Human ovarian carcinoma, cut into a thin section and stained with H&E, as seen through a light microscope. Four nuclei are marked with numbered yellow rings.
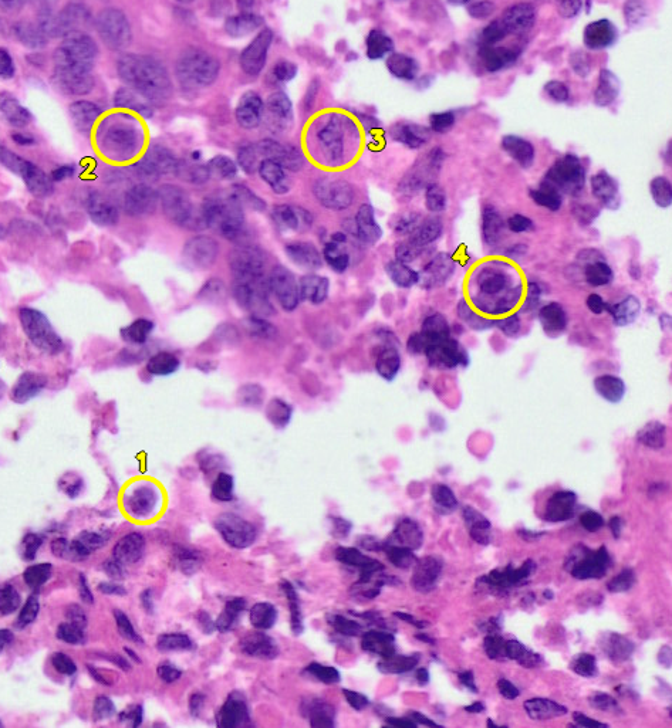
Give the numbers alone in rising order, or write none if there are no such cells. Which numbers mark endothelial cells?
3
